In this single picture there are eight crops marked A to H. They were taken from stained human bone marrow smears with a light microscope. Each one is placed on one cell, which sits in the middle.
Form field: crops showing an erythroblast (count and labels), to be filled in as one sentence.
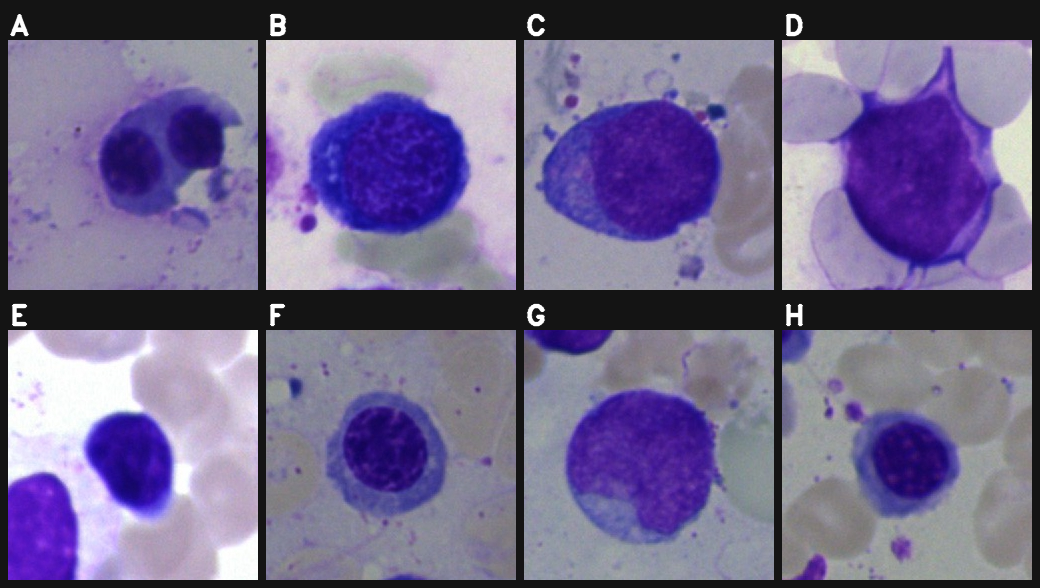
Classed as erythroblasts are the central cells of four crops, A, B, F and H.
